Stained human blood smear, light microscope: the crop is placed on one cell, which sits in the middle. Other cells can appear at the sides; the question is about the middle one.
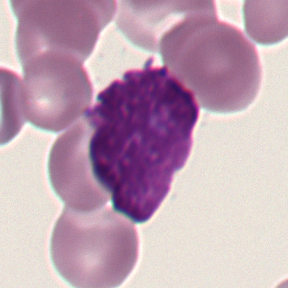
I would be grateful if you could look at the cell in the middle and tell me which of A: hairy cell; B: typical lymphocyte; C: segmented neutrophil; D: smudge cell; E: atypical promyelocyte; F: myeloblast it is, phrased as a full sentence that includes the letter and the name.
Of the options given, D is correct, the central cell being a smudge cell.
